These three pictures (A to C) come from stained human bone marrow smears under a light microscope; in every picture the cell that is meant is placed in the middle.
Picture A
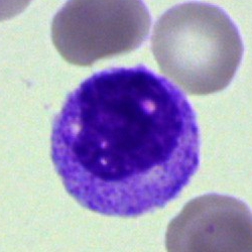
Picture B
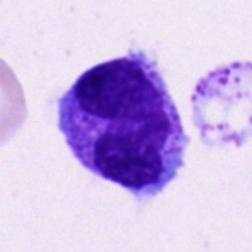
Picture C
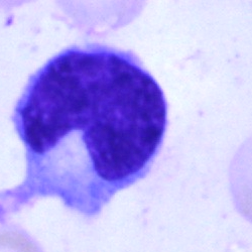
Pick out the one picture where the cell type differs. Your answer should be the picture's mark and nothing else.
A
